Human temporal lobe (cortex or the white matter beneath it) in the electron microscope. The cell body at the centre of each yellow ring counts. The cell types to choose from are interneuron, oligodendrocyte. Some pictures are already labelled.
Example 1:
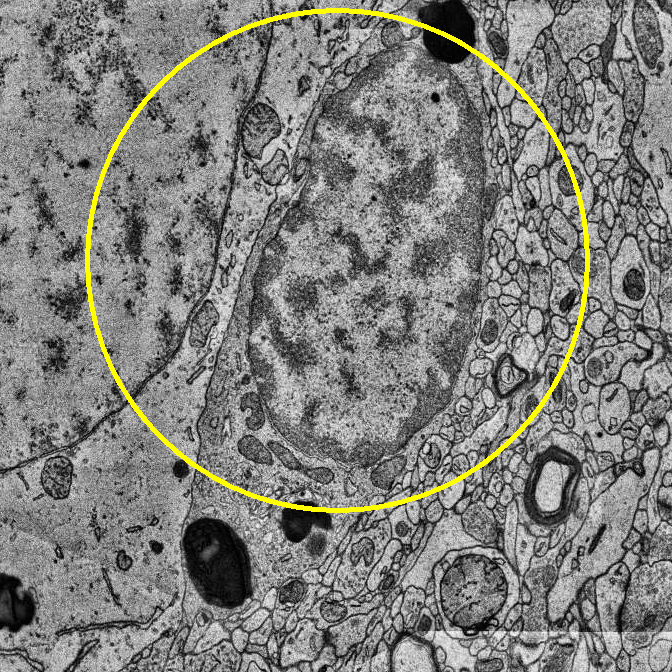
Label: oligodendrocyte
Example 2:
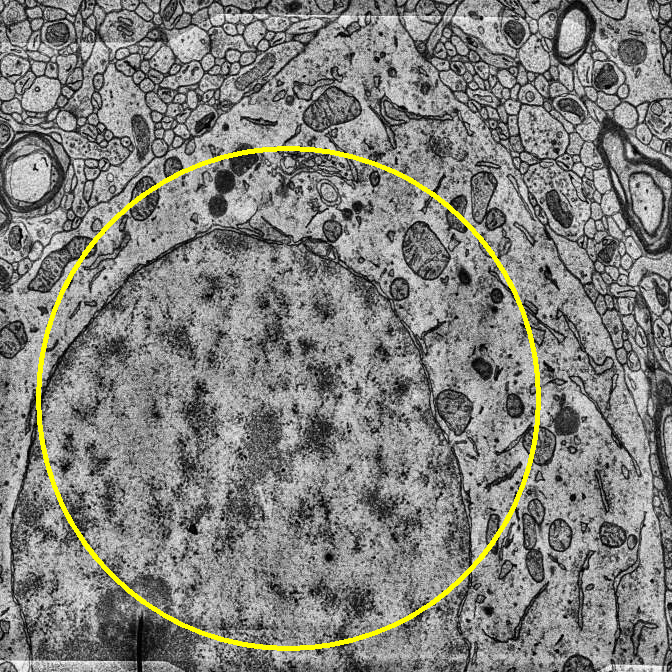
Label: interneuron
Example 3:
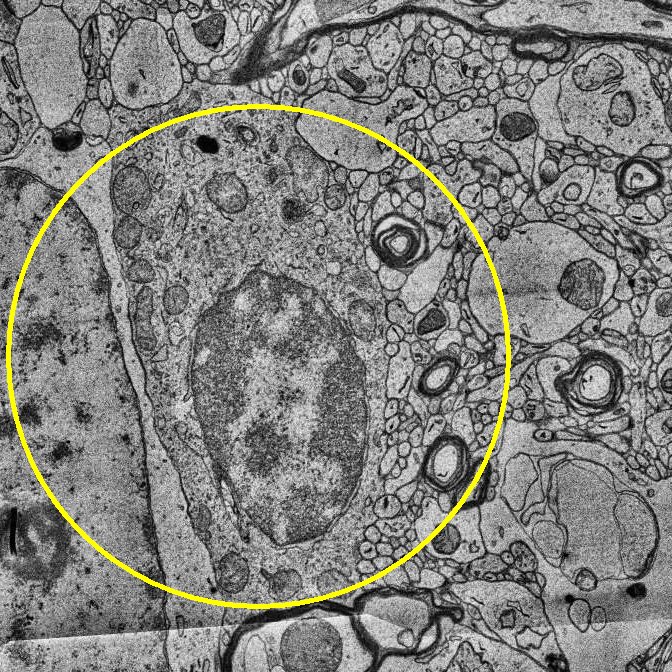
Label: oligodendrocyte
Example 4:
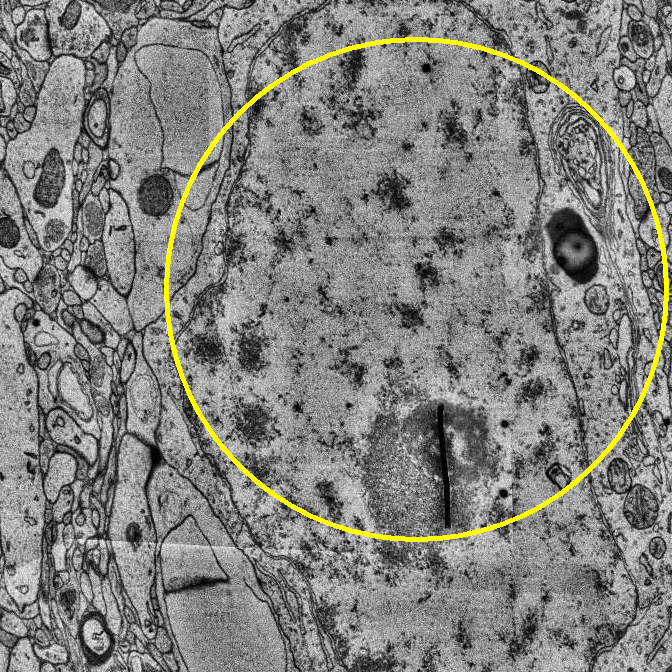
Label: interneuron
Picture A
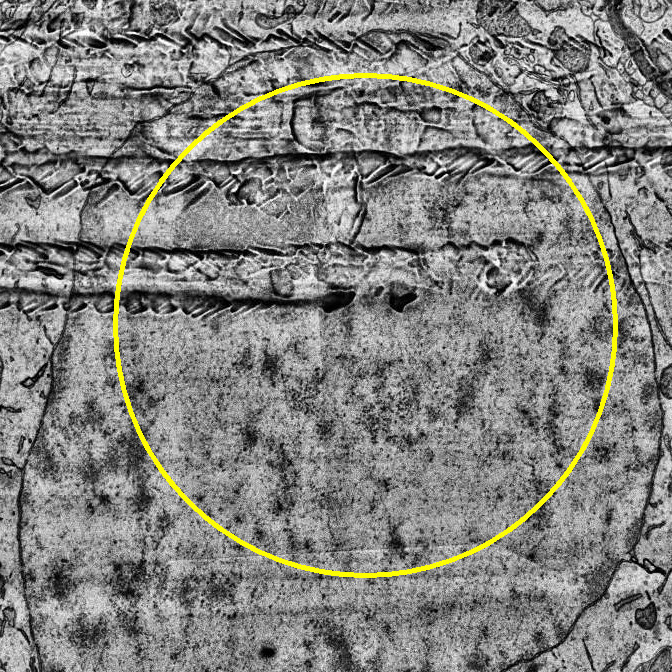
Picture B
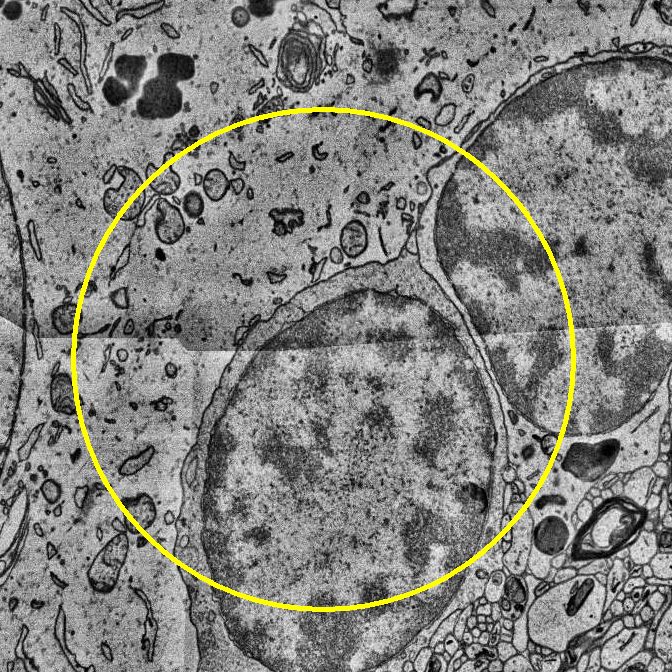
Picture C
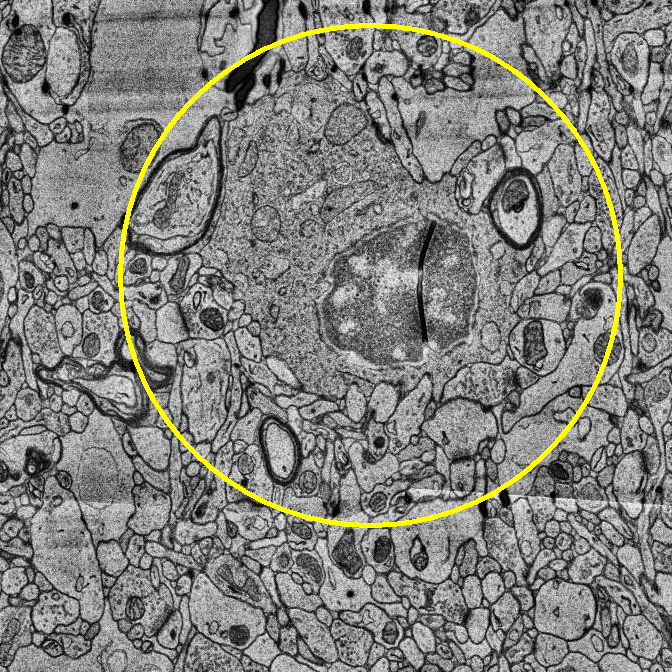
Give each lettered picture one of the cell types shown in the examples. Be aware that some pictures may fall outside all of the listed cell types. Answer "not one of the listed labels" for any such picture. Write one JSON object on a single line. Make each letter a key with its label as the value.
{"A": "not one of the listed labels", "B": "oligodendrocyte", "C": "oligodendrocyte"}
